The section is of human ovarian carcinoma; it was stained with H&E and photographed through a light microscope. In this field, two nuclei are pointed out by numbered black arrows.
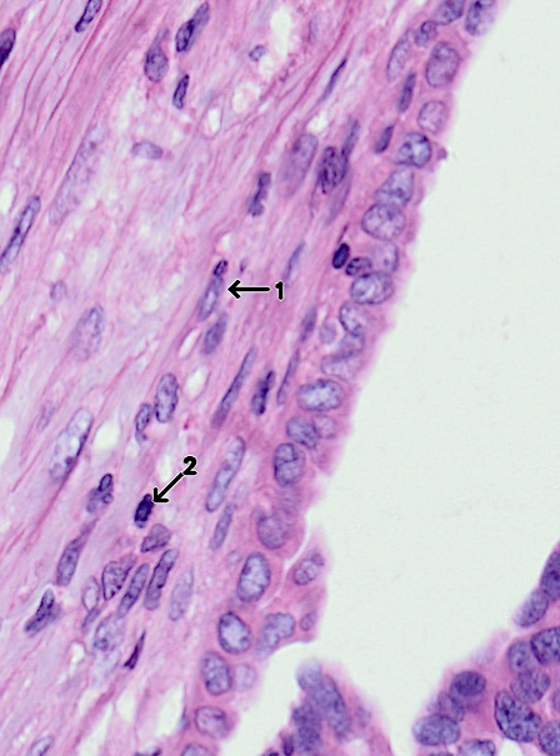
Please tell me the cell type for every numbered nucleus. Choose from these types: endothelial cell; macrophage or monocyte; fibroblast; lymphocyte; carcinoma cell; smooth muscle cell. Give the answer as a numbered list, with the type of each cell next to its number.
1. fibroblast
2. lymphocyte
